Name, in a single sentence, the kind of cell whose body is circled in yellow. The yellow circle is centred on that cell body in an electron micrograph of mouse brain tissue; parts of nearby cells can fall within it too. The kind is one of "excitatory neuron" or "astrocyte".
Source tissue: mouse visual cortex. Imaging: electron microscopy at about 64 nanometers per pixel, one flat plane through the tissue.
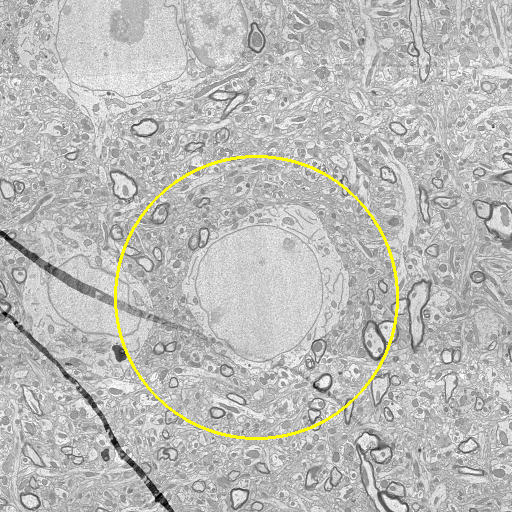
The circled cell body belongs to an excitatory neuron.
